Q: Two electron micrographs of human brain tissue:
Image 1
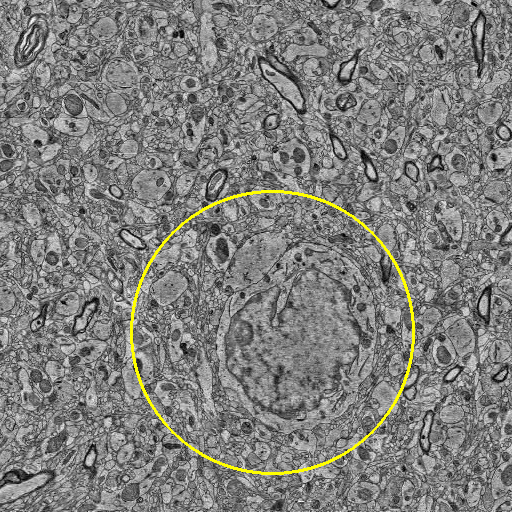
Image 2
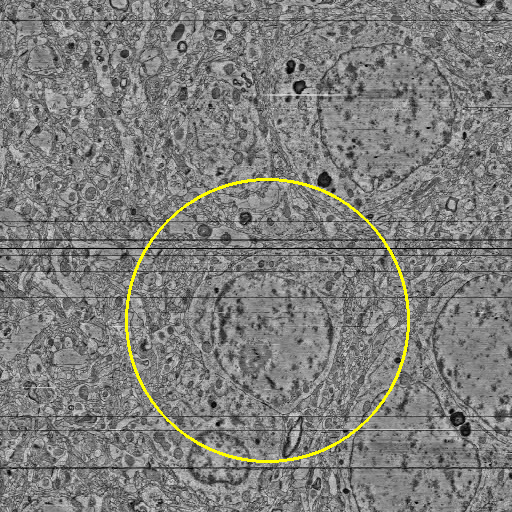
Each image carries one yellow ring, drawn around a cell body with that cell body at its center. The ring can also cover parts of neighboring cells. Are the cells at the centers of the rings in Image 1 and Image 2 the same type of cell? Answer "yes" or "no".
yes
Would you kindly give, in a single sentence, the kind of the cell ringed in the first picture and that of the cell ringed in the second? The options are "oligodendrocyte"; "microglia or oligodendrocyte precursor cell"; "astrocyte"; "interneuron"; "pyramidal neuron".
The first and the second cell are each an interneuron.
